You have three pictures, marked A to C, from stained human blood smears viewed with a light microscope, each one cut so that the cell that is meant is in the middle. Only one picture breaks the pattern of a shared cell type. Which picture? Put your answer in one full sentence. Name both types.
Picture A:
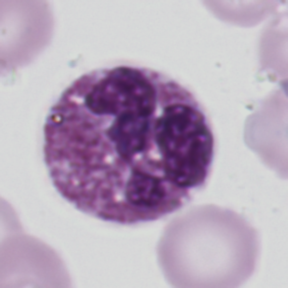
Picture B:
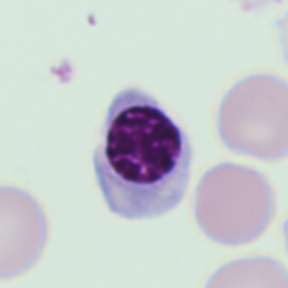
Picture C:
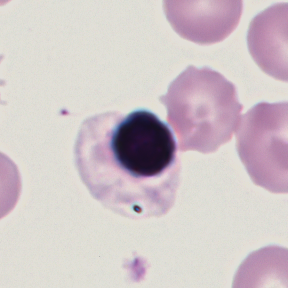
Picture A differs, because its cell is an eosinophil and the rest are normoblasts.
